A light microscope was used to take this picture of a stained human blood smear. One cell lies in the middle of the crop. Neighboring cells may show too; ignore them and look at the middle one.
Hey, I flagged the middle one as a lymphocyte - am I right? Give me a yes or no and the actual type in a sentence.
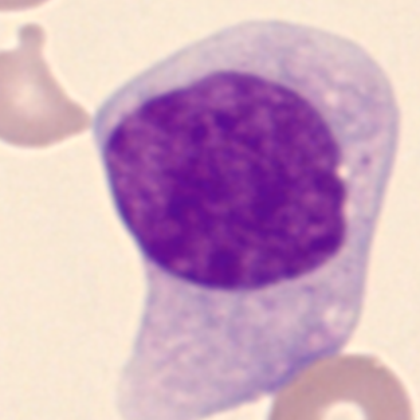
No, looking at the central cell, it is a monocyte rather than a lymphocyte.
